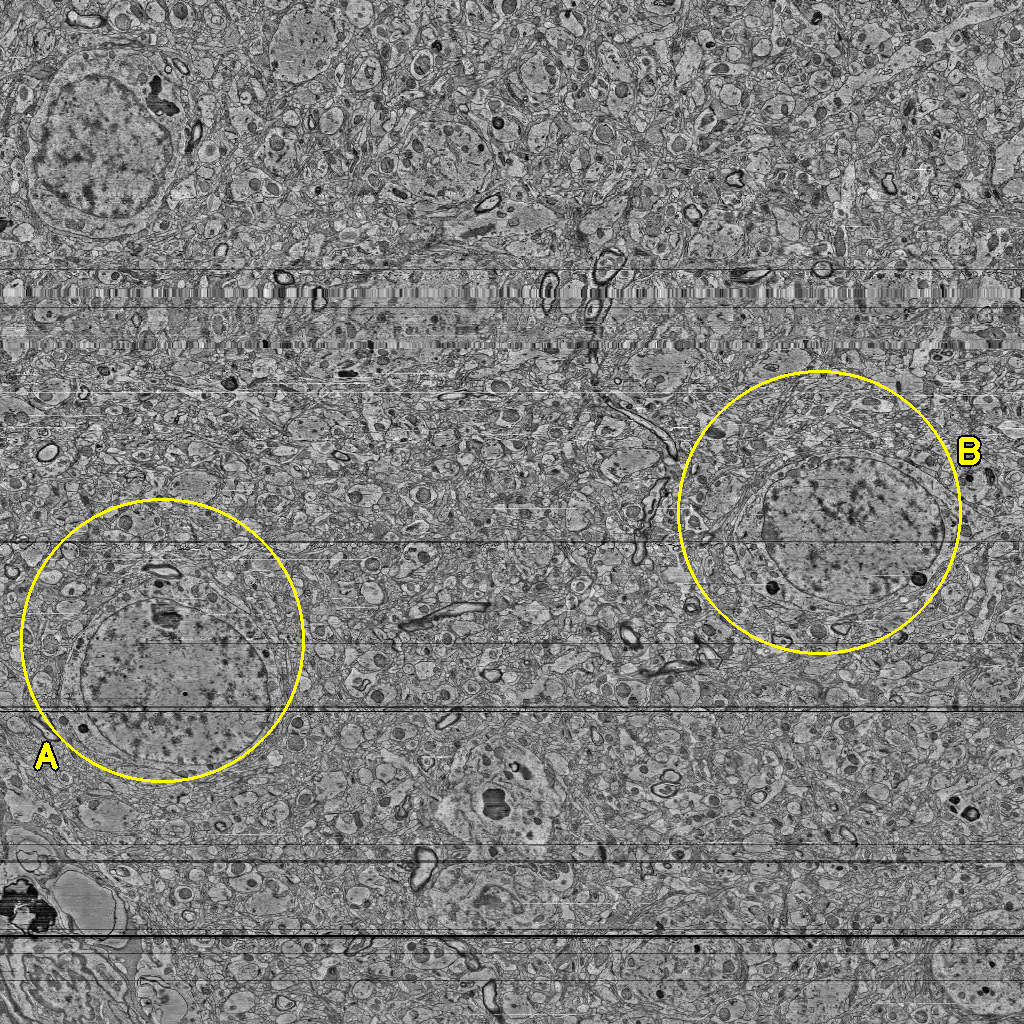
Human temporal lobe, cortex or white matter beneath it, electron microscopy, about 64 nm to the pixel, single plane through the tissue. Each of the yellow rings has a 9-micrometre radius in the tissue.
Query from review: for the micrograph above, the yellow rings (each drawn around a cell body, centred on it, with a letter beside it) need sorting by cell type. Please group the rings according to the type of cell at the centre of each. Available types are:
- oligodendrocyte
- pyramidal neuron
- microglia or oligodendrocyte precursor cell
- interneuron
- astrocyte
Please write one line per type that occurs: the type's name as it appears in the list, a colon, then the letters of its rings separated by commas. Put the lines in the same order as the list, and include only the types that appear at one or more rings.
pyramidal neuron: A, B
